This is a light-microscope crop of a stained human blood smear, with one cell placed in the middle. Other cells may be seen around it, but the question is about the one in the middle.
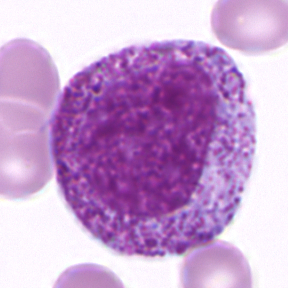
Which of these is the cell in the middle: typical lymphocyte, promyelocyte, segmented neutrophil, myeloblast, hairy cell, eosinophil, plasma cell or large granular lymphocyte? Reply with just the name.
promyelocyte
